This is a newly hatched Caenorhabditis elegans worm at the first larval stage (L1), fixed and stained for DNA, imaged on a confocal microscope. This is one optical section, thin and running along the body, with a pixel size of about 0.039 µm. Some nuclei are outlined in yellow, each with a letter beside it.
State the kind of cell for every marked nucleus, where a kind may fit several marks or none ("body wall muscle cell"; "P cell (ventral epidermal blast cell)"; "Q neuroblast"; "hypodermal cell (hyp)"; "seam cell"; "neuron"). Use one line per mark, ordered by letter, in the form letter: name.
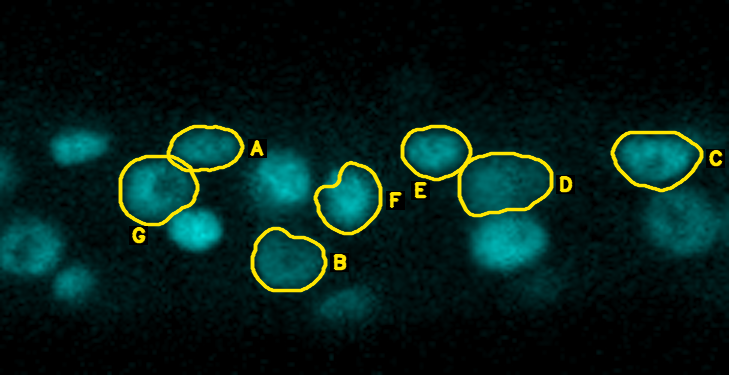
A: body wall muscle cell
B: hypodermal cell (hyp)
C: P cell (ventral epidermal blast cell)
D: seam cell
E: body wall muscle cell
F: neuron
G: seam cell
